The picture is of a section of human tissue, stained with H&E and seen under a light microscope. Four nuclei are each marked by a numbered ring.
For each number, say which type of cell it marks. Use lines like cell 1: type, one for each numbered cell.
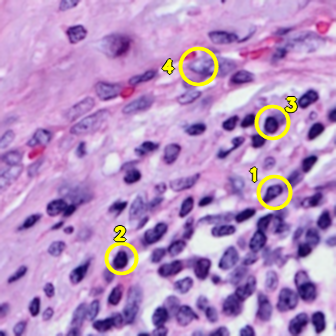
cell 1: lymphocyte
cell 2: lymphocyte
cell 3: lymphocyte
cell 4: endothelial cell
